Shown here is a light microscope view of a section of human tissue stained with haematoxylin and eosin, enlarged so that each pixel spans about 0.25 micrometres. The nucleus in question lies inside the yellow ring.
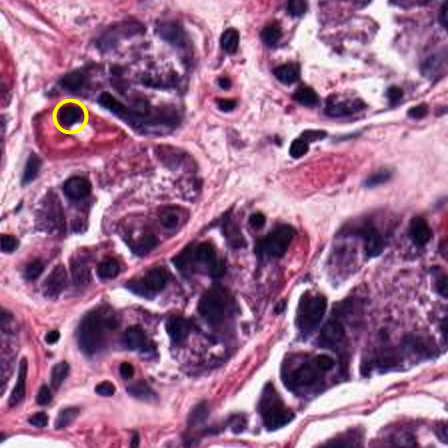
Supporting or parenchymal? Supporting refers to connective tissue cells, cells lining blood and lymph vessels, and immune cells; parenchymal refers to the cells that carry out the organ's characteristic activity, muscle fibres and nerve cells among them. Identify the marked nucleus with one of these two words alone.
parenchymal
